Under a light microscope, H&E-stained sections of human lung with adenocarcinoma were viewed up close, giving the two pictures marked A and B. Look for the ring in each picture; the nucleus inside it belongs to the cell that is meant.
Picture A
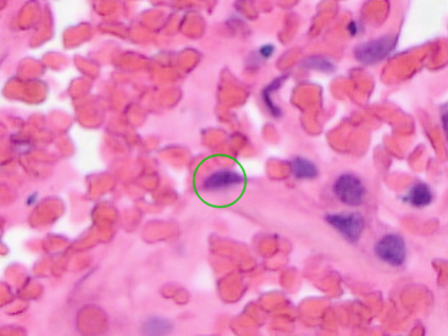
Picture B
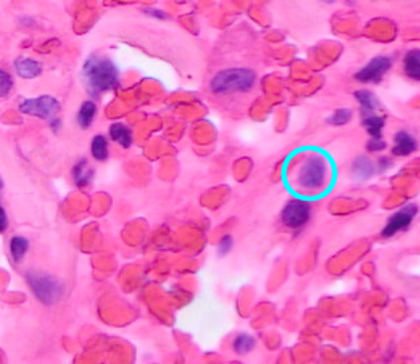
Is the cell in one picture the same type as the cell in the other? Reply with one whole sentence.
Yes; the cells in both pictures are type I pneumocytes.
